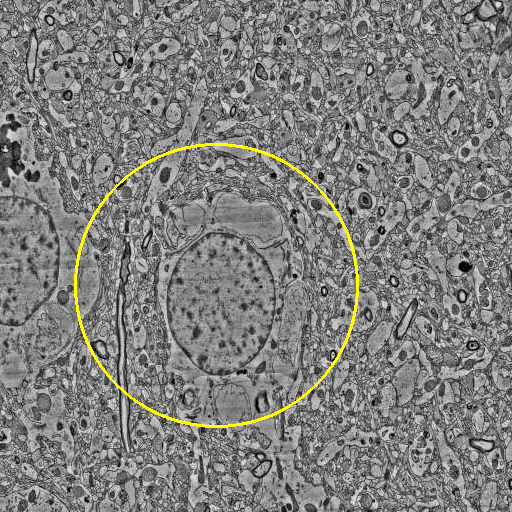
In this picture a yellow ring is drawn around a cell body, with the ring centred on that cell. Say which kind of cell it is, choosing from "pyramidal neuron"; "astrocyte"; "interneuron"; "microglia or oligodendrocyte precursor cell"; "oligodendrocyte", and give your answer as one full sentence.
Here it is an astrocyte that sits at the centre of the drawn yellow ring.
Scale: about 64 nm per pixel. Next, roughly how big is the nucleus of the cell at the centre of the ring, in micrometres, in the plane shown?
In this plane, the nucleus is roughly 9 by 7 micrometres.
